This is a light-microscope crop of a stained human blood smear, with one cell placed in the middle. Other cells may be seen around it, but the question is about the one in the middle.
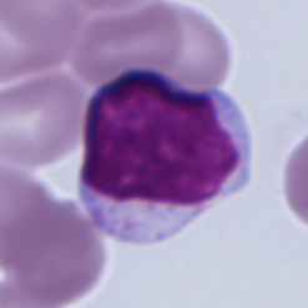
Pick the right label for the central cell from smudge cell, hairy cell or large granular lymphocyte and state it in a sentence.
This crop's central cell is a large granular lymphocyte.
